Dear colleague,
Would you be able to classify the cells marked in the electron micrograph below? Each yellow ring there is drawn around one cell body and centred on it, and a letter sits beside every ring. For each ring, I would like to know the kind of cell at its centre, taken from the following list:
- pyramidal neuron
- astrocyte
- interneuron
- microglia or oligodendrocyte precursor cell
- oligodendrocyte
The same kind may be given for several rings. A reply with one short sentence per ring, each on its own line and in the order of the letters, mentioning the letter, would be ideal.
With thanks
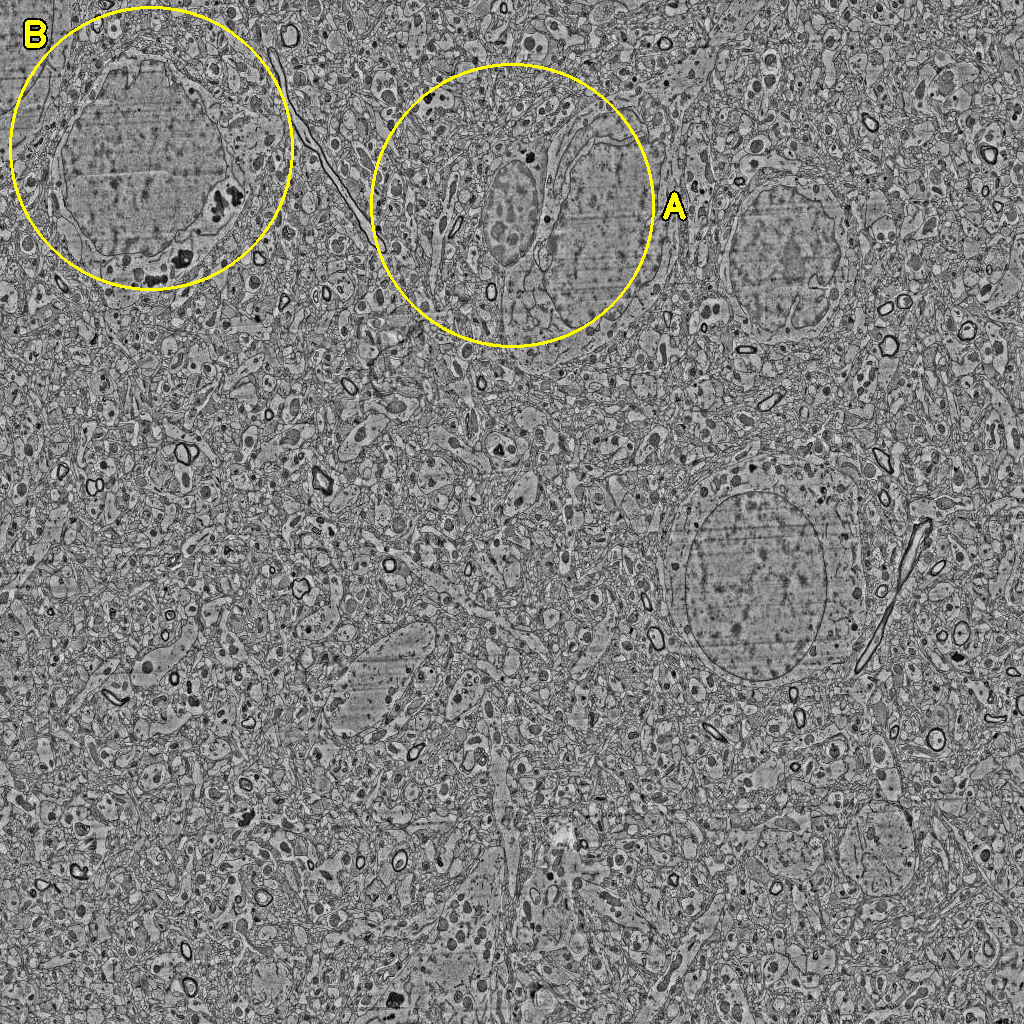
Ring A contains an oligodendrocyte at its centre.
Ring B contains an interneuron at its centre.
